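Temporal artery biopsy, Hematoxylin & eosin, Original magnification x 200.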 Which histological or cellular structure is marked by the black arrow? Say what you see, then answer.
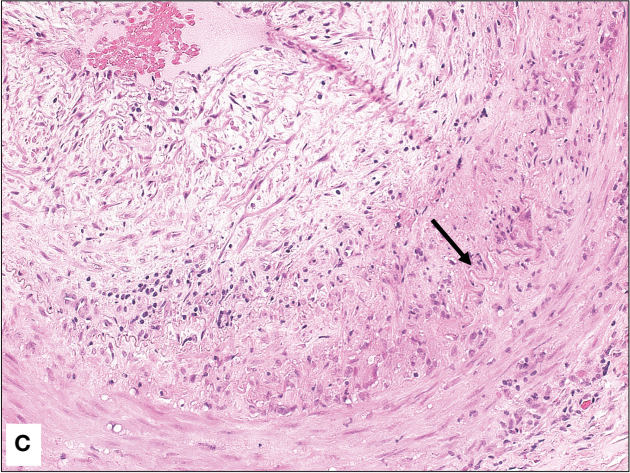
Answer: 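Interrupted elastic lamina. The arrow points to the boundary between the thickened inner layer and the outer muscular layer. No continuous refractile band separates the layers at that point.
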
